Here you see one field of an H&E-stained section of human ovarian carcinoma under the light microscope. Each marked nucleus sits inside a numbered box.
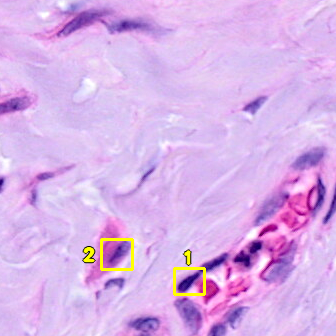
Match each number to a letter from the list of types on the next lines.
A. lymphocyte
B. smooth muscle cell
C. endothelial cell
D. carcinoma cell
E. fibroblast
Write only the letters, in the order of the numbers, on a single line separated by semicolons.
C; B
